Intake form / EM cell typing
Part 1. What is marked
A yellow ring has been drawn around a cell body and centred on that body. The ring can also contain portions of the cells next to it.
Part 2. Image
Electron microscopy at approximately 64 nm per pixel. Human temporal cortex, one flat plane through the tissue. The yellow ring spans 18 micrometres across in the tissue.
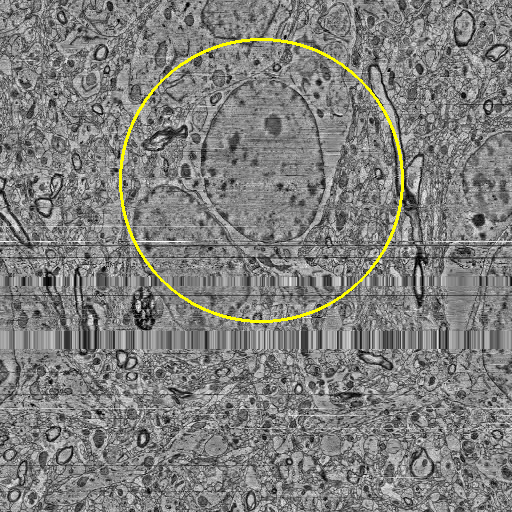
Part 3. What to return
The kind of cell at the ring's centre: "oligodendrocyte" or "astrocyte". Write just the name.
astrocyte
